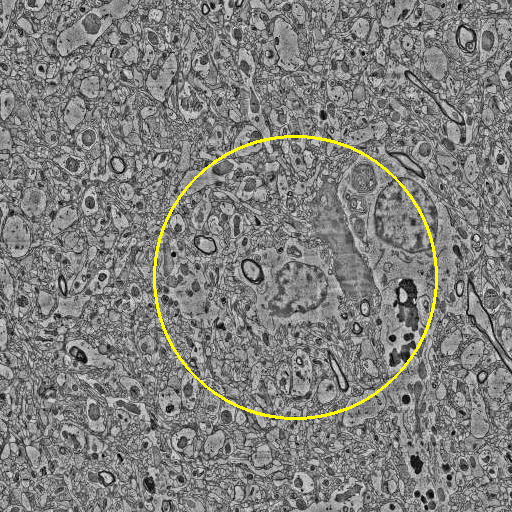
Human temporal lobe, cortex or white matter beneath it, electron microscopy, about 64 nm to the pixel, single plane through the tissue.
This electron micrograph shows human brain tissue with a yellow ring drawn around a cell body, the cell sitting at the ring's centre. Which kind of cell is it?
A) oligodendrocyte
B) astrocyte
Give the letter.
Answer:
B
